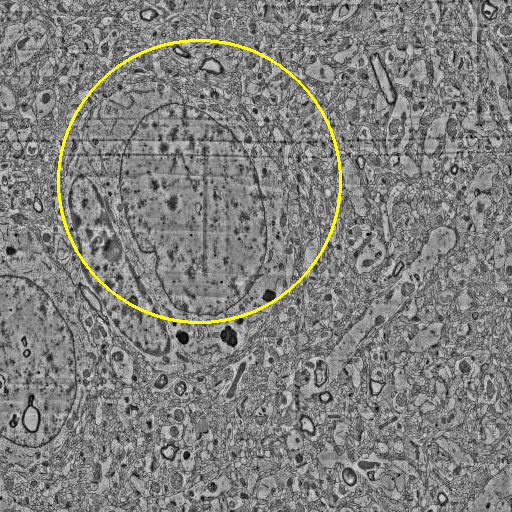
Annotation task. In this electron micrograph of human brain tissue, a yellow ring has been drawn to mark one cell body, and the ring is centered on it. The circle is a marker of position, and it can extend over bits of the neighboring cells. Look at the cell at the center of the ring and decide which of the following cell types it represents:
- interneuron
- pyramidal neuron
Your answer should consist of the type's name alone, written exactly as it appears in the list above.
pyramidal neuron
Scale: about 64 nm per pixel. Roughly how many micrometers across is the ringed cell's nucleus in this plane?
Clearly longer than it is wide in this plane, the nucleus measures roughly 14 by 9 micrometres.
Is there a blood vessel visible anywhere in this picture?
No, no blood vessel shows in the picture.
